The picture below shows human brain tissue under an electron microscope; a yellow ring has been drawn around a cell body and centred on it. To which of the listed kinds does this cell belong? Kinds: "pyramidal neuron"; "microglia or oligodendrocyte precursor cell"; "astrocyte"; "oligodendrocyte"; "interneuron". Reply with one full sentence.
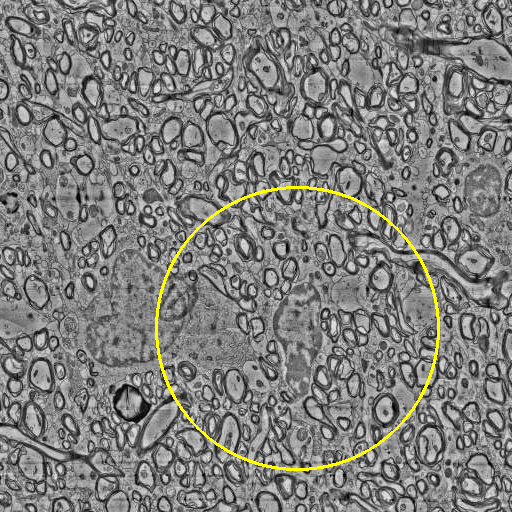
It is a microglial cell or oligodendrocyte precursor cell that the yellow ring in the picture is centred on.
